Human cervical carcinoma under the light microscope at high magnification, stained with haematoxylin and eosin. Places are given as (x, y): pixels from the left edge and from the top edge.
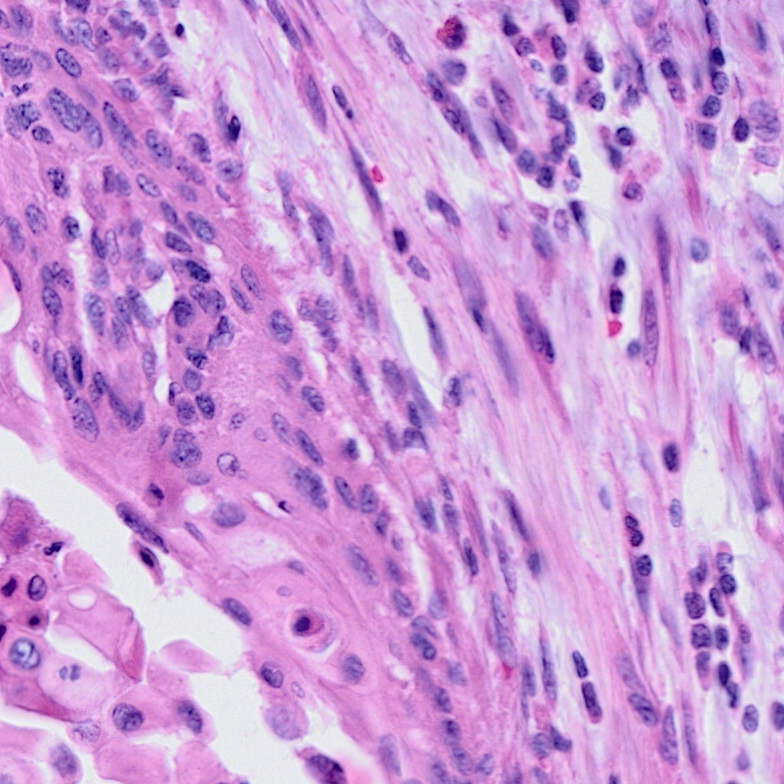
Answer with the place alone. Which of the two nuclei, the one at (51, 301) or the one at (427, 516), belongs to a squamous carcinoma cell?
(51, 301)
